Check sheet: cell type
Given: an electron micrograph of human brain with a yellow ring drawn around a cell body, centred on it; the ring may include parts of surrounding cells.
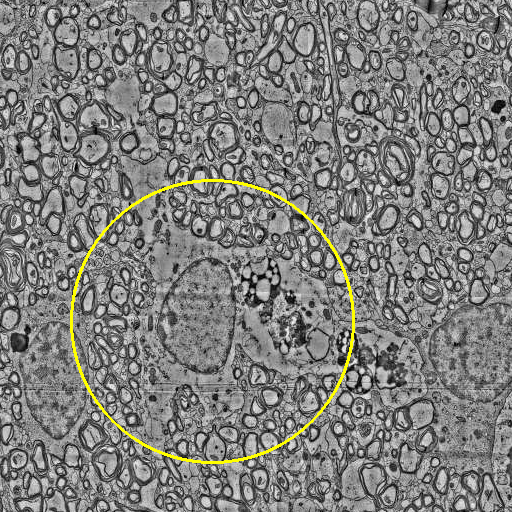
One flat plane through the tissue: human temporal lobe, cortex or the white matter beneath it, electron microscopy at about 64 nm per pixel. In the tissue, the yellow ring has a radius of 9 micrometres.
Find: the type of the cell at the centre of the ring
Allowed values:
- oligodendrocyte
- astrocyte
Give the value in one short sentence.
Here the ringed cell is an astrocyte.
